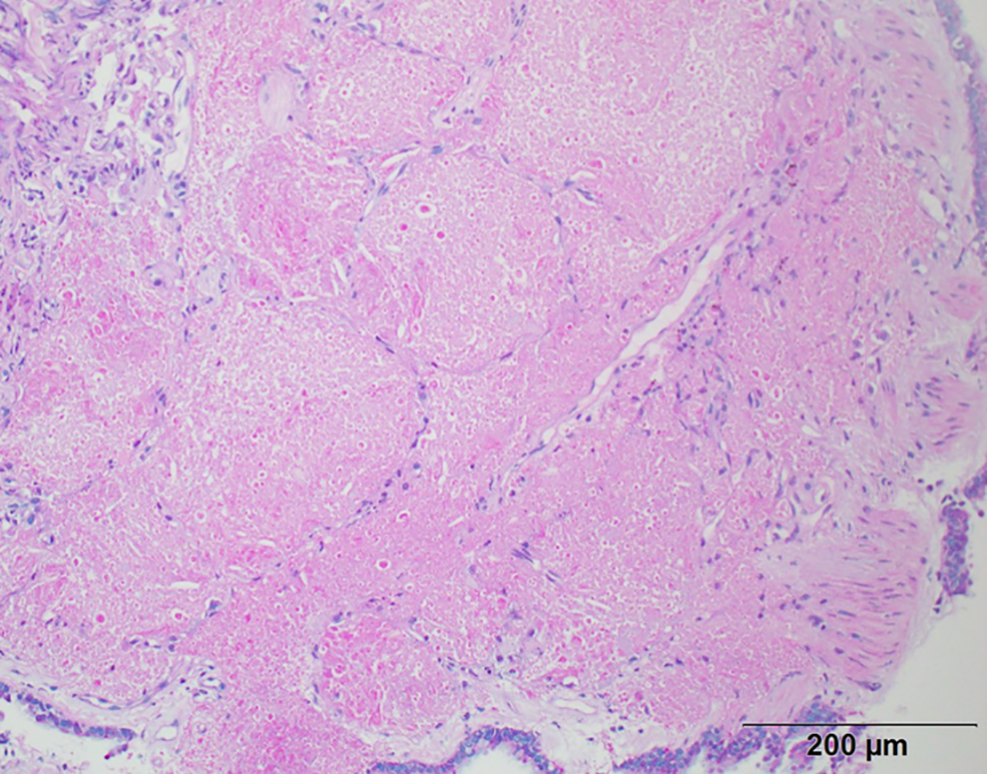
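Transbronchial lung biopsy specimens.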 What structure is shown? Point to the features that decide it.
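Rounded spaces are separated by thin septa with few nuclei. The spaces are filled rather than empty. The answer: alveoli.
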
